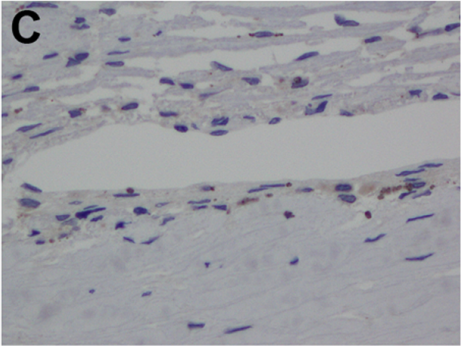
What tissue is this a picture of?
trabecular meshwork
